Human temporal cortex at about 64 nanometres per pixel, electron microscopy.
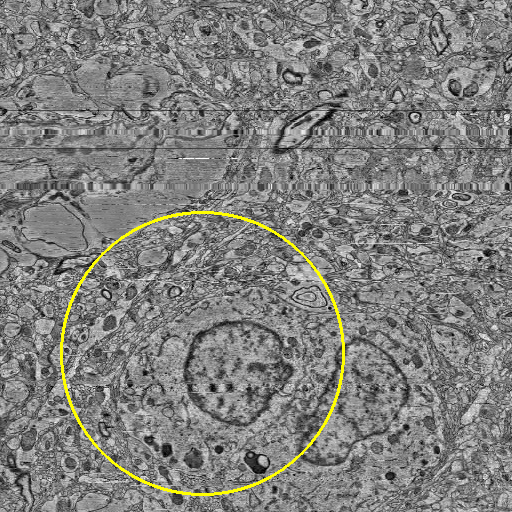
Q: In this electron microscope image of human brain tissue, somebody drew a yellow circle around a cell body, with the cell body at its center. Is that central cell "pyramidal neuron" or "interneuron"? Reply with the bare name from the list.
pyramidal neuron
